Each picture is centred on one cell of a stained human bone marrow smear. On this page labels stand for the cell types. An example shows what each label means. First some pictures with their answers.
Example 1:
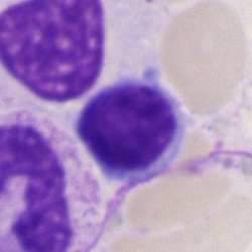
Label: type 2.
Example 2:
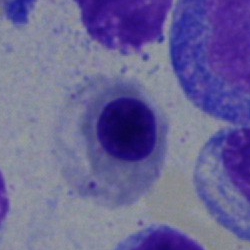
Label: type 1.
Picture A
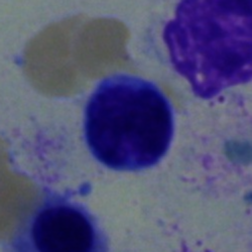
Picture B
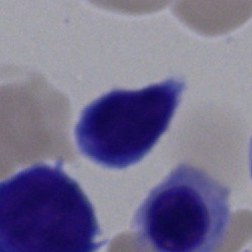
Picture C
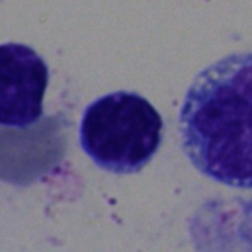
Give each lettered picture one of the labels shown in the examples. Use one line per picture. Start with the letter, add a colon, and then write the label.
A: type 2.
B: type 2.
C: type 2.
